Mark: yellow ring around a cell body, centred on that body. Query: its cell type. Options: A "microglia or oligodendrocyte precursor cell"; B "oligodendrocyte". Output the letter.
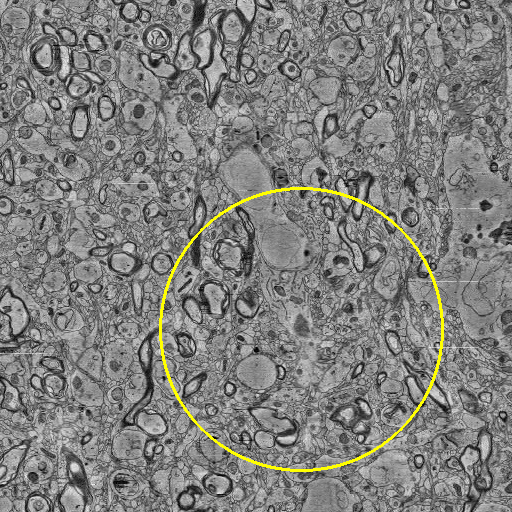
A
